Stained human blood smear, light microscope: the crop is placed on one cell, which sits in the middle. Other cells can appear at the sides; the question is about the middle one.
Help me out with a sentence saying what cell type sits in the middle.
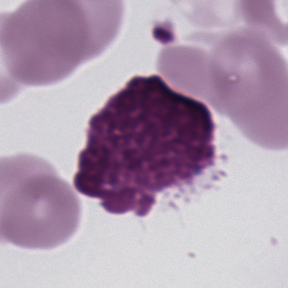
The middle position in this crop is taken by a smudge cell.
